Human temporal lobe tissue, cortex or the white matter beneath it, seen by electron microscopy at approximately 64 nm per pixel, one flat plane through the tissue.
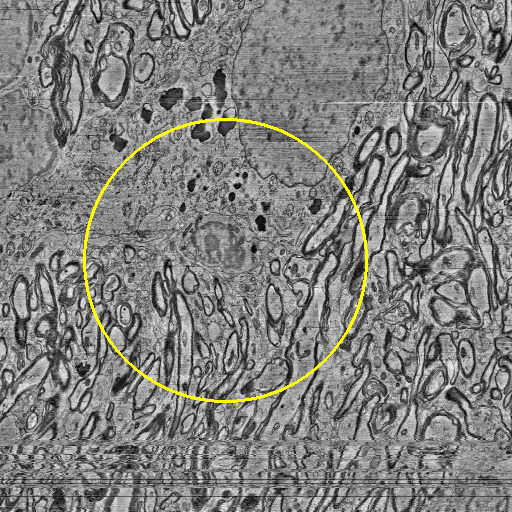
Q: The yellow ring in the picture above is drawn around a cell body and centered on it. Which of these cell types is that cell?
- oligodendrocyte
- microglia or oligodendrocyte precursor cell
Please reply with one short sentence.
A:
The cell body at the ring's center belongs to an oligodendrocyte.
